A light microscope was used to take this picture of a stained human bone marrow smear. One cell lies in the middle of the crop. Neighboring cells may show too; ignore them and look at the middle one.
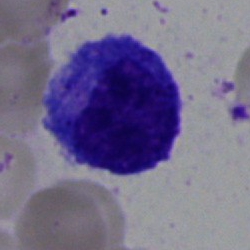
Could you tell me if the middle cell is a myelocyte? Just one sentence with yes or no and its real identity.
No, the cell at the centre is categorised not as a myelocyte but as a promyelocyte.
